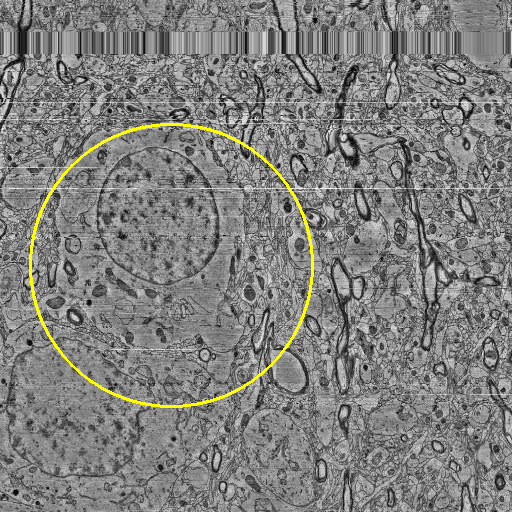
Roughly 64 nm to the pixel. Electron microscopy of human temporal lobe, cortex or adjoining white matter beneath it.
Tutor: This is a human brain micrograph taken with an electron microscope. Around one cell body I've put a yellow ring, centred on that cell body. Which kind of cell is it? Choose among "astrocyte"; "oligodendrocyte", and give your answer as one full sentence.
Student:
Going by your list, the cell centred in the yellow ring is an astrocyte.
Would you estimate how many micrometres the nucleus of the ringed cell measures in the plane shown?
Approximately 9 x 8 micrometres in this plane.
